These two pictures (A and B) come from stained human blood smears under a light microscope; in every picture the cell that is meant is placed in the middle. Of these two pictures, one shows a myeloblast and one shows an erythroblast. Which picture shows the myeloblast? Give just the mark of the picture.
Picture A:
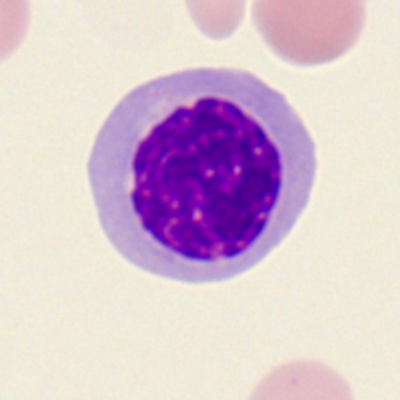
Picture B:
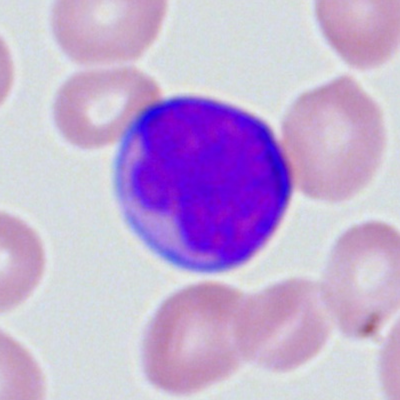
B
